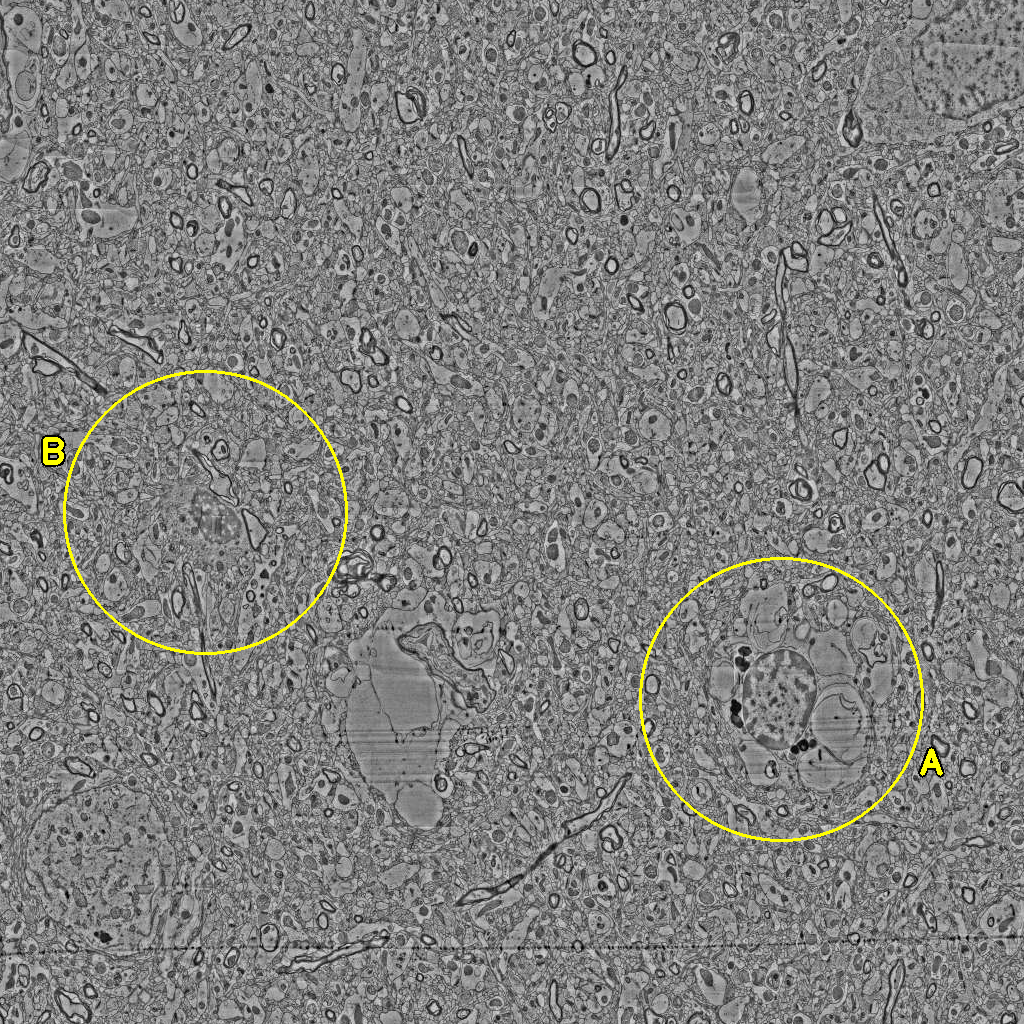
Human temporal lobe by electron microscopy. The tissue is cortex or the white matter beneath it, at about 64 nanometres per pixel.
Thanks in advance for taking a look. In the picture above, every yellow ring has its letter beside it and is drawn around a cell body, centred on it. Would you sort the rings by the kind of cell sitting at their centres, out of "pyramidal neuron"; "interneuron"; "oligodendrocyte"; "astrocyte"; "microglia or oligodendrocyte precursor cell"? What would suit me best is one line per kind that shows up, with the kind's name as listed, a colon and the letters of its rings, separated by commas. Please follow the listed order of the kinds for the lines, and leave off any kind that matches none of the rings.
oligodendrocyte: B
microglia or oligodendrocyte precursor cell: A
